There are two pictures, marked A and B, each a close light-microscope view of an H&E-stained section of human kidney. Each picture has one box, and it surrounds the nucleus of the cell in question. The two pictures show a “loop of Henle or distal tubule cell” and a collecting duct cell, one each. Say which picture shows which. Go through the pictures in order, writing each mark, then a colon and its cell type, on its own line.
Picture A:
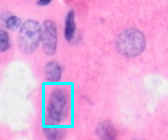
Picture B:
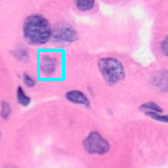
A: collecting duct cell
B: loop of Henle or distal tubule cell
